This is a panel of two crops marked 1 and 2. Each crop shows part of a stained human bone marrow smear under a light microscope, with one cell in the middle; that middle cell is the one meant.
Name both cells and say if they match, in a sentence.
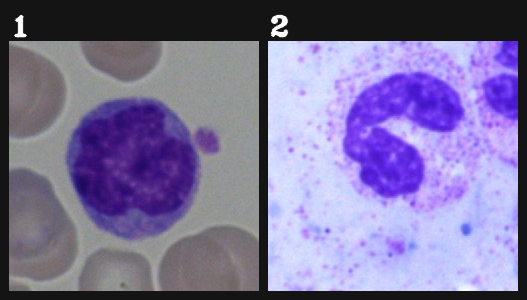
No, a band neutrophil is depicted in crop 2, whereas a monocyte is depicted in crop 1.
